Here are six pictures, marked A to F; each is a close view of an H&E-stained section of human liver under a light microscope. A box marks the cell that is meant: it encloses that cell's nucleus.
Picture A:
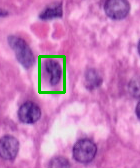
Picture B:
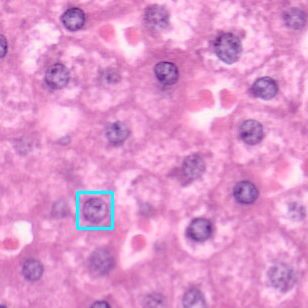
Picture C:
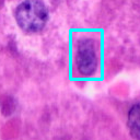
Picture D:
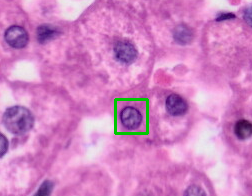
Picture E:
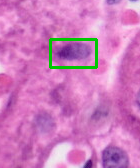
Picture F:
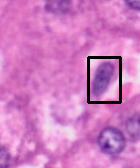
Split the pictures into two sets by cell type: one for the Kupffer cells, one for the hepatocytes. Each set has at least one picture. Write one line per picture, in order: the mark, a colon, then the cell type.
A: Kupffer cell
B: hepatocyte
C: Kupffer cell
D: hepatocyte
E: Kupffer cell
F: Kupffer cell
